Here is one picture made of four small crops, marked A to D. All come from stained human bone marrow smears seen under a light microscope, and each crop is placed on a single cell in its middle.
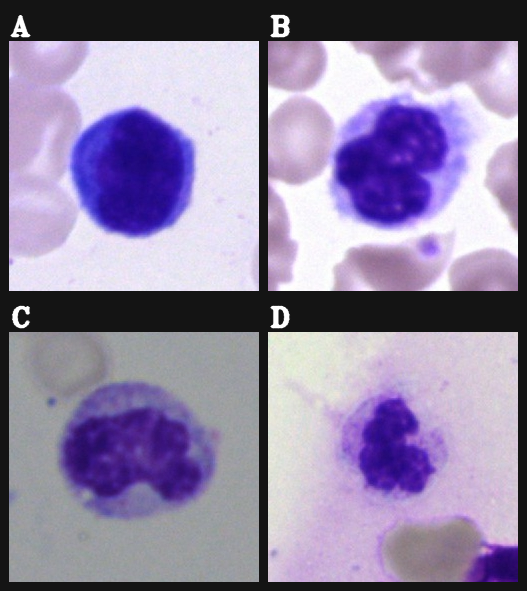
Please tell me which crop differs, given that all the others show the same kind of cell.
D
